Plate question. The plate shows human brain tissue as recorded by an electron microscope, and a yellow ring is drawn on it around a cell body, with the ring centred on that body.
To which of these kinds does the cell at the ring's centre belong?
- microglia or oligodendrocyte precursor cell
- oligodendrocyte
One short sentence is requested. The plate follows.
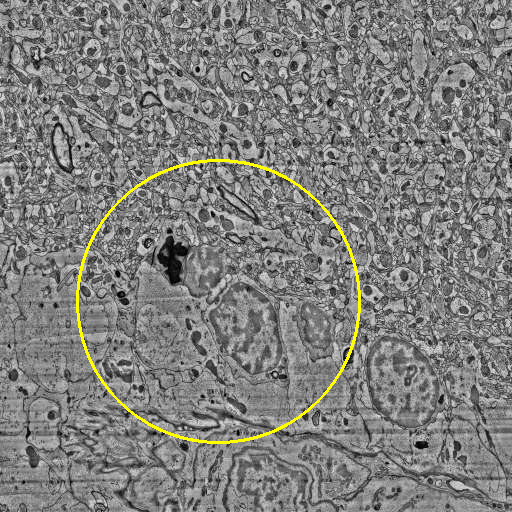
The cell at the ring's centre is a microglial cell or oligodendrocyte precursor cell.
